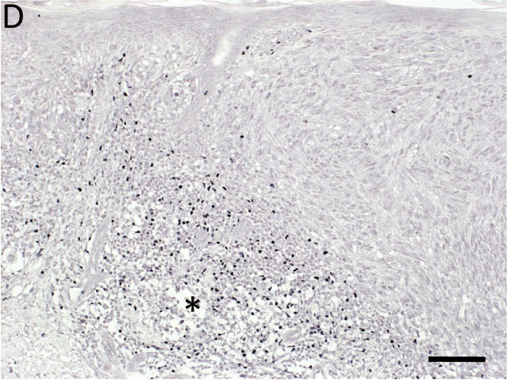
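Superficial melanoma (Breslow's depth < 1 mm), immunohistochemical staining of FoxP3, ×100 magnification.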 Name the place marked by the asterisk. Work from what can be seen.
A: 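Stromal compartment of the tumor. The asterisk lies in a looser area with many small darkly stained nuclei. The area contrasts with denser sheets of spindle-shaped tumor cells to the right.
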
